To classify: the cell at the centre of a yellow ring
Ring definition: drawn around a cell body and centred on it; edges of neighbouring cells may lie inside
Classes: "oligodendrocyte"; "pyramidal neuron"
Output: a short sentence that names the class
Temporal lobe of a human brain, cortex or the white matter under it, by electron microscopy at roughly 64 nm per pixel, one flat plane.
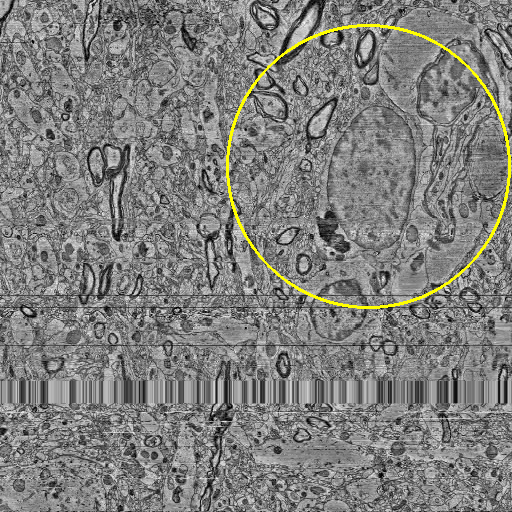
The ringed cell is an oligodendrocyte.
